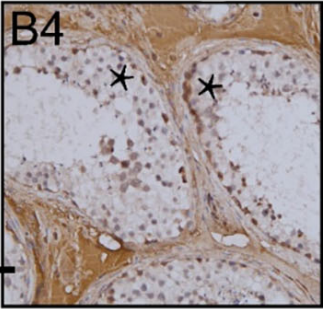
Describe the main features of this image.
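This shows seminiferous tubules of the testis cut across, with the connective tissue between them. Each tubule is bounded by a thin fibrous wall and holds several layers of cells with round nuclei around a pale central lumen. Some nuclei, mostly near the outer part of the tubules, are stained brown, while others remain blue.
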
